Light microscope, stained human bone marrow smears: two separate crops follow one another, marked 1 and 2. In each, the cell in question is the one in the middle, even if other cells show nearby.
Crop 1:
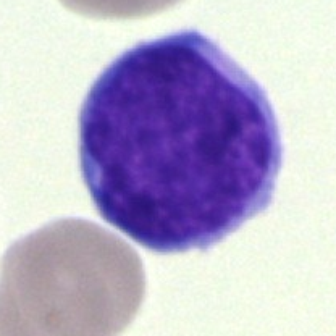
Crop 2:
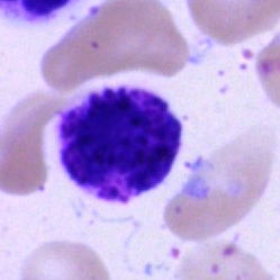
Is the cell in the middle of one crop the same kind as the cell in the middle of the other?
no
